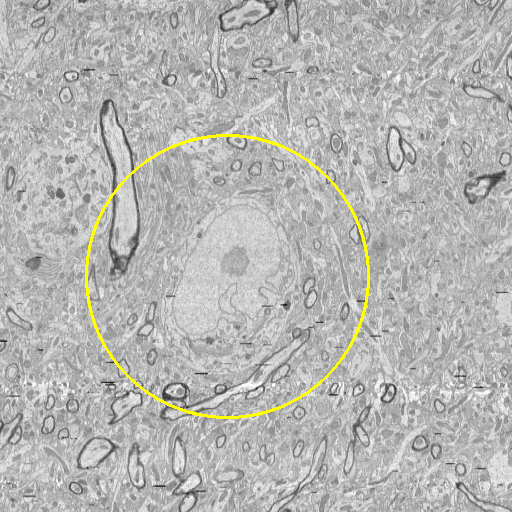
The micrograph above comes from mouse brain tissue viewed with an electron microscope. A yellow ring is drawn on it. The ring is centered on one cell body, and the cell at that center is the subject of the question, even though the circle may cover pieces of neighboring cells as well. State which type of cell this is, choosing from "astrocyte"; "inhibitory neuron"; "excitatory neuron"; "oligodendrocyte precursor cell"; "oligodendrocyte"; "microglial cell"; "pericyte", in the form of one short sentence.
The cell the ring is centered on is an inhibitory neuron.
